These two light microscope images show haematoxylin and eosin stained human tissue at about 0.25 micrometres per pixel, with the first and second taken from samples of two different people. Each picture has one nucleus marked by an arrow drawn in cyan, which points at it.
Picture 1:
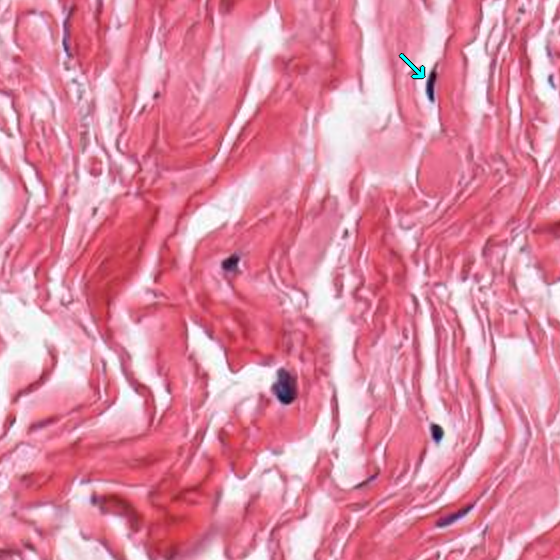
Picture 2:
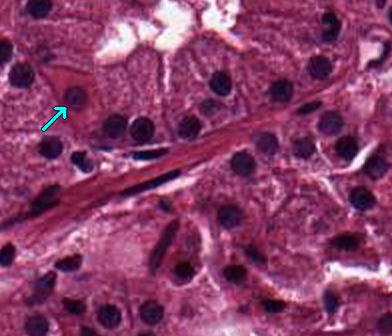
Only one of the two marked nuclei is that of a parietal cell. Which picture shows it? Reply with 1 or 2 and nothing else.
2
